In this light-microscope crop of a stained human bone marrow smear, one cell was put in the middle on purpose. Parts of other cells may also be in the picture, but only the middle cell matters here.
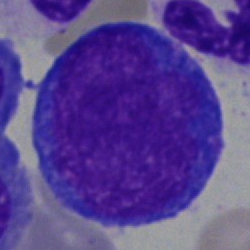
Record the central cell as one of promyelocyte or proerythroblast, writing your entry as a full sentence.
The cell at the centre of the field is a proerythroblast.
